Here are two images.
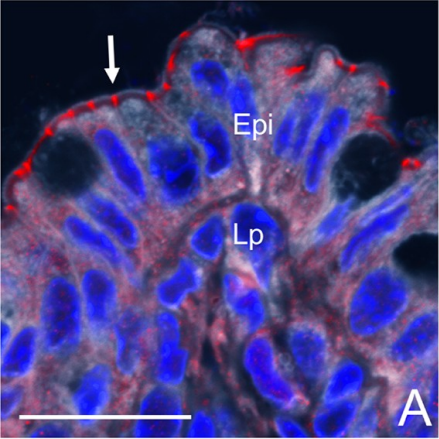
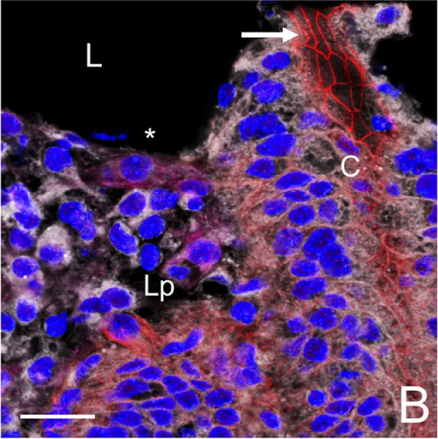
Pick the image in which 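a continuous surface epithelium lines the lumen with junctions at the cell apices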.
The first image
